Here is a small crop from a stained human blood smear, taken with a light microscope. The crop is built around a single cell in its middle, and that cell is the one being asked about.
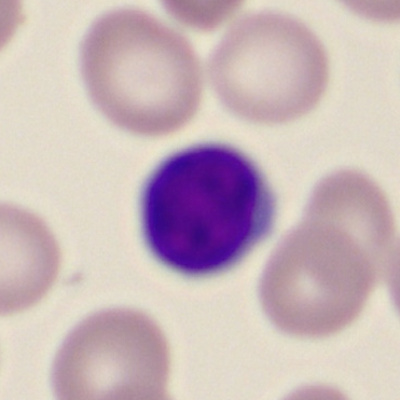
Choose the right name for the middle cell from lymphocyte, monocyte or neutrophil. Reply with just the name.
lymphocyte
